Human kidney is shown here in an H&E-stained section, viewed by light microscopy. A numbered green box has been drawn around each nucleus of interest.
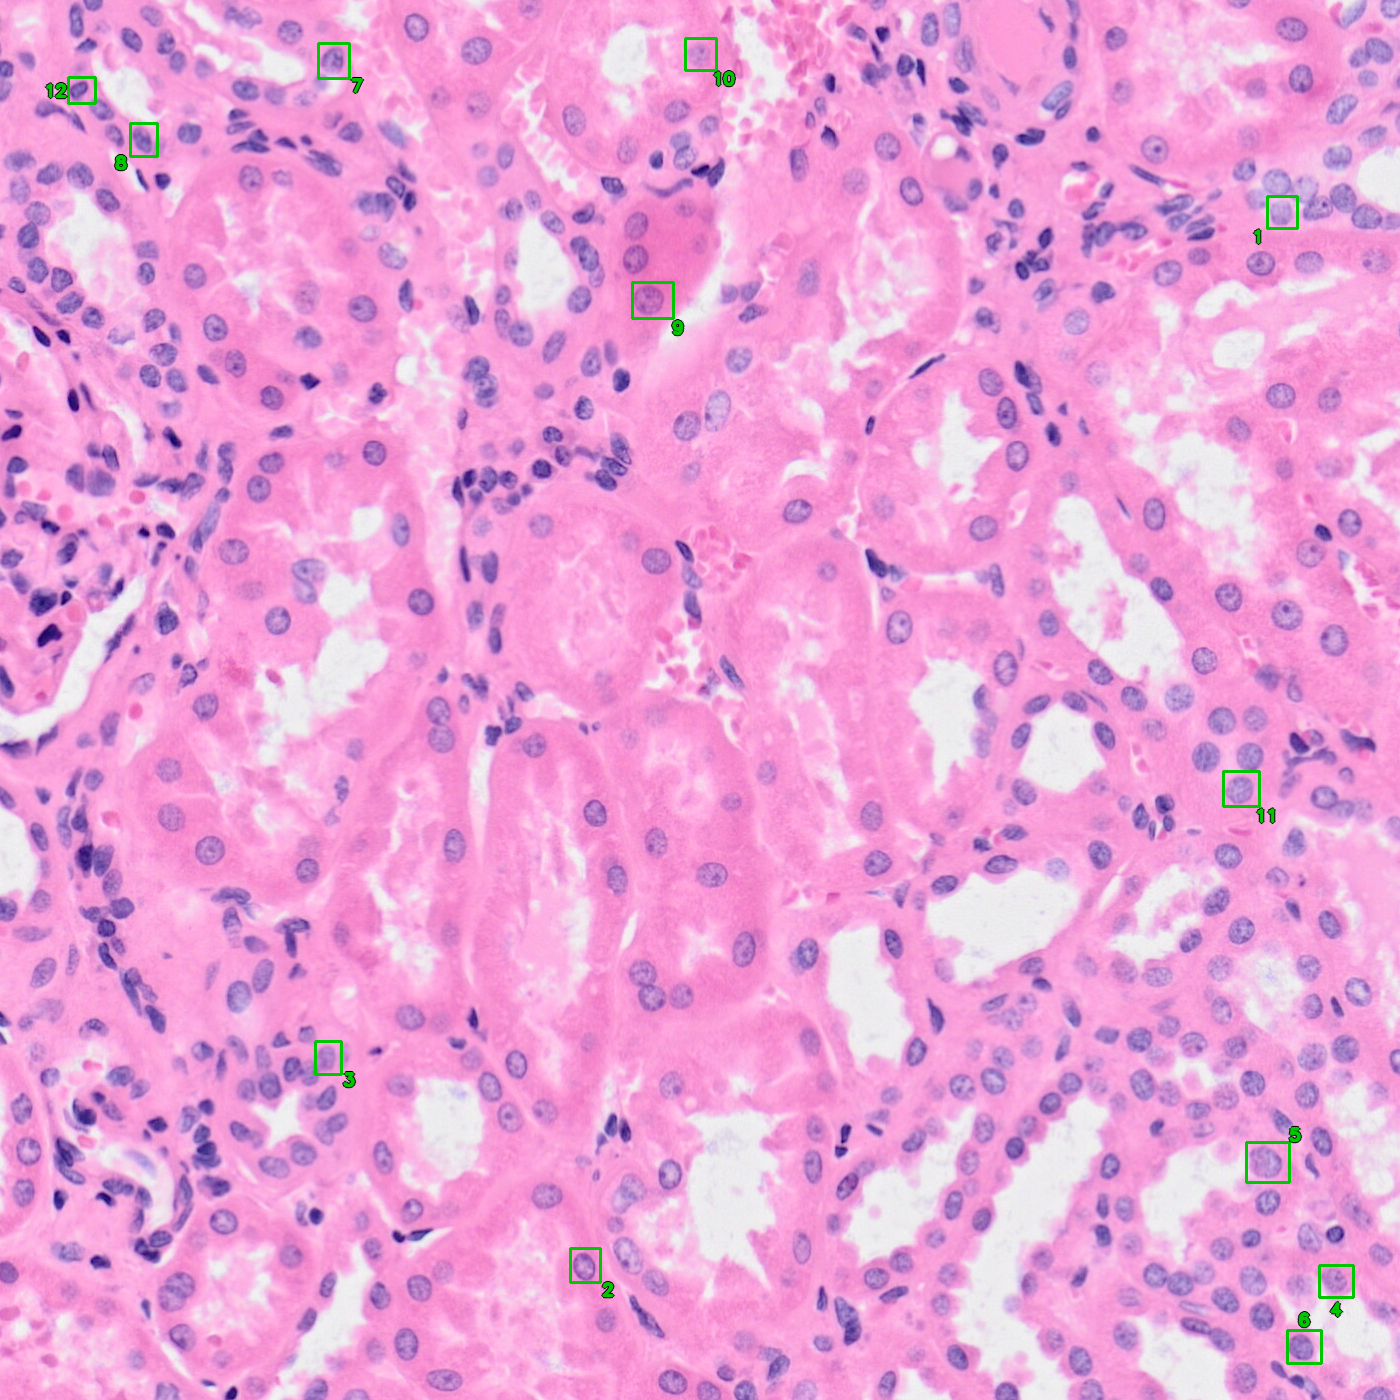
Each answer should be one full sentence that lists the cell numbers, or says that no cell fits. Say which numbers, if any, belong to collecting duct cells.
In short, the numbered cells 1, 3, 7, 8 and 12 are collecting duct cells.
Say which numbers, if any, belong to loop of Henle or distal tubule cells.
The cells with the number labels 4, 5, 6 and 11 are loop of Henle or distal tubule cells.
